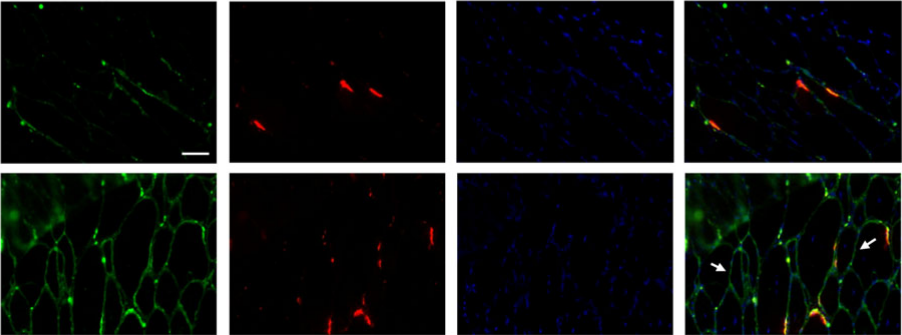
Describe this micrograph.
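Skeletal muscle is seen in section, with many polygonal to elongated fibres whose borders are traced by thin green lines. Small bright green dots sit at some of the fibre corners. Scattered blue nuclei lie along the fibre edges. A few short, compact red patches lie on the fibre surface, and where green overlaps them the merged colour turns yellow-orange. Elsewhere the green outlines run continuously along stretches of membrane well away from any red patch.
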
